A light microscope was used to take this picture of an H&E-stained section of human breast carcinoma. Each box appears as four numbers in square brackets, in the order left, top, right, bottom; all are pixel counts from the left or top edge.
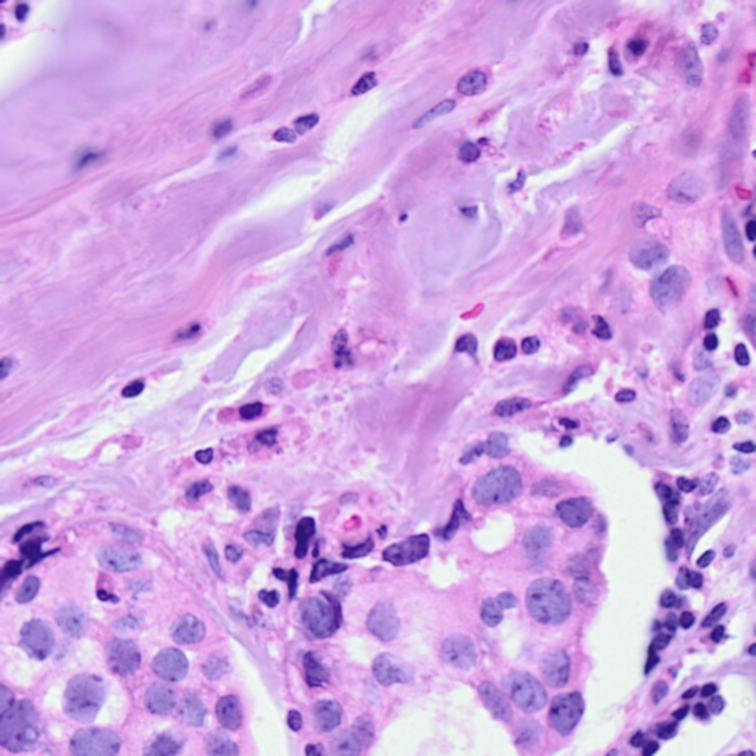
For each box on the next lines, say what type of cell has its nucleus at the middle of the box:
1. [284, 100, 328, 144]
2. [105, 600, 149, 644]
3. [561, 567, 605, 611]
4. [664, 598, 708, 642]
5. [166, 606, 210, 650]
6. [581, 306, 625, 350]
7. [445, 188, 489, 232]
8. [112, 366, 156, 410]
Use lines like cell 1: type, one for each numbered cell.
cell 1: lymphocyte
cell 2: carcinoma cell
cell 3: carcinoma cell
cell 4: lymphocyte
cell 5: carcinoma cell
cell 6: lymphocyte
cell 7: fibroblast
cell 8: lymphocyte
